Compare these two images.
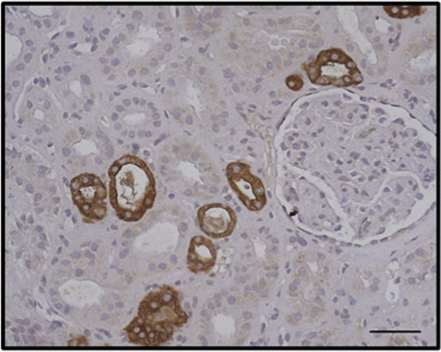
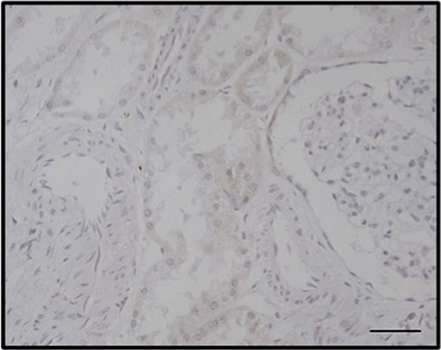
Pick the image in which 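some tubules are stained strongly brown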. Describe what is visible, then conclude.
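Second image: tubules show at most a faint pale brown tint, none dark. First image: several tubular cross-sections are stained intense dark brown.
Conclusion: the first image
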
